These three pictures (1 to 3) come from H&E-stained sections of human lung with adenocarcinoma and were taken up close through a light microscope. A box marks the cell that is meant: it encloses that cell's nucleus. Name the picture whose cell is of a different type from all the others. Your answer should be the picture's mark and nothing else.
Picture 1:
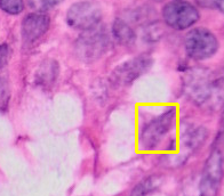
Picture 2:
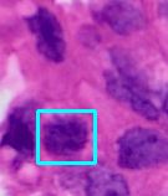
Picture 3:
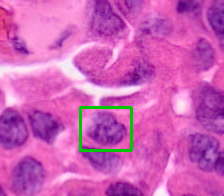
1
